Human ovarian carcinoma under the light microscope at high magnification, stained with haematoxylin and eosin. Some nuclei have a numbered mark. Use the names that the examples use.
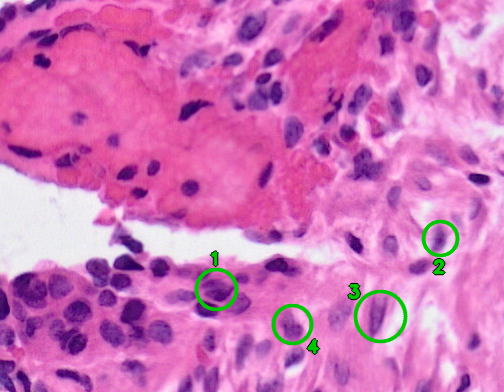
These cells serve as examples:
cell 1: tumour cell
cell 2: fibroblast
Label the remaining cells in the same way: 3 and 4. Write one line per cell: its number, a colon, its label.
3: fibroblast
4: fibroblast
